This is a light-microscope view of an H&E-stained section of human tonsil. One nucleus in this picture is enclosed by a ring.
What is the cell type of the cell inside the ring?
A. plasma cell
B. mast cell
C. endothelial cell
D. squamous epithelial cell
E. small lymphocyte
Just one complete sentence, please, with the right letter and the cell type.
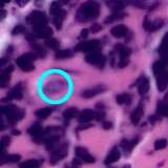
Option C is the correct one, since the cell inside the ring is an endothelial cell.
